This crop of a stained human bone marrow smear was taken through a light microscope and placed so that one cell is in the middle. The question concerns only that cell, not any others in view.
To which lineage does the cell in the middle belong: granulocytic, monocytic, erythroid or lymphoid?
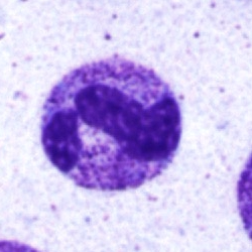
granulocytic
